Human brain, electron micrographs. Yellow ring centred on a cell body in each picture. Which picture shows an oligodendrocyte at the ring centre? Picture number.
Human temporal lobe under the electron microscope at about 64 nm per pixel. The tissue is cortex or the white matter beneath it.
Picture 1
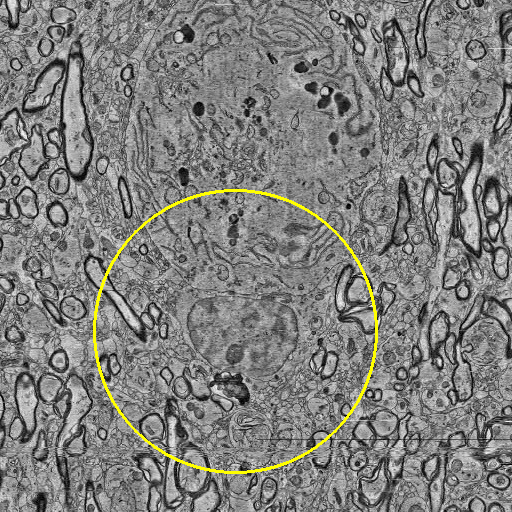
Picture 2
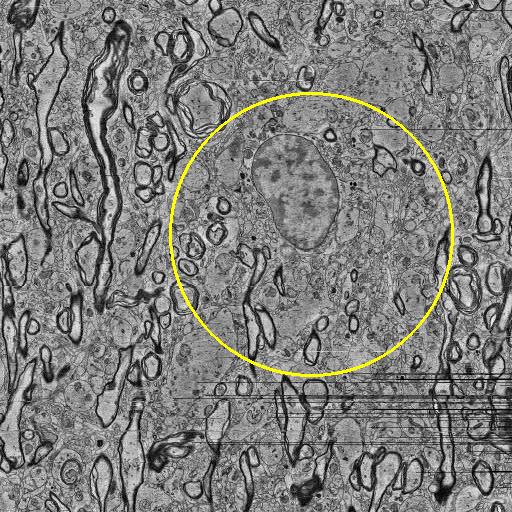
1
